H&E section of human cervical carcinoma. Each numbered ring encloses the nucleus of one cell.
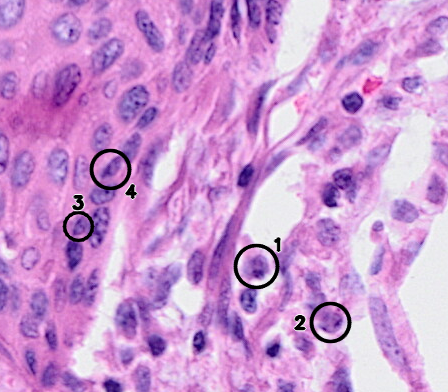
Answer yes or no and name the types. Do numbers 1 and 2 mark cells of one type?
Yes, that is right: cells 1 and 2 are both macrophages or monocytes.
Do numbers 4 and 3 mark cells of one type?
Yes, cells 4 and 3 are both identified as squamous carcinoma cells.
